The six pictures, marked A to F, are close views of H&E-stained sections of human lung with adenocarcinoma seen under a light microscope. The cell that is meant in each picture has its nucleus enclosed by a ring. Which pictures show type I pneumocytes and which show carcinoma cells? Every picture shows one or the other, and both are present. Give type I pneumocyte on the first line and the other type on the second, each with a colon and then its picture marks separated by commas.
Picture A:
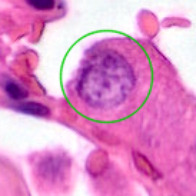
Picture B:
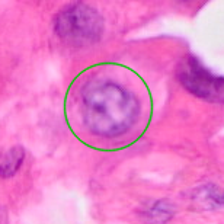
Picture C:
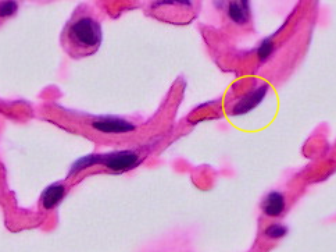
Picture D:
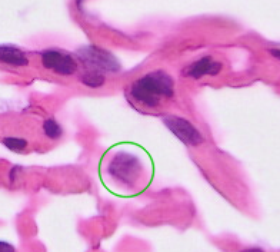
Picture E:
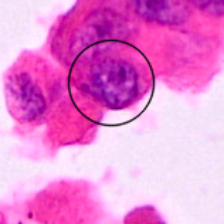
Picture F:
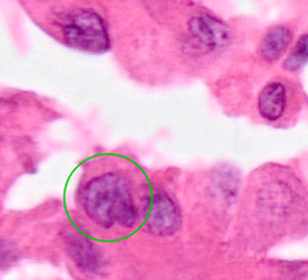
type I pneumocyte: C, D
carcinoma cell: A, B, E, F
